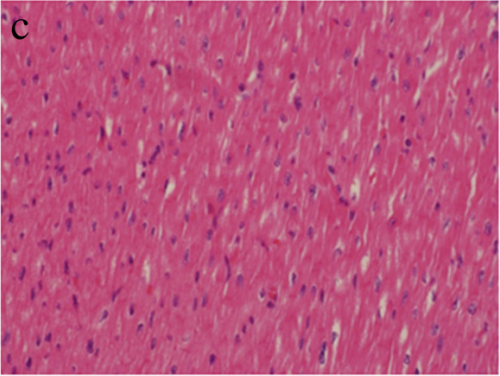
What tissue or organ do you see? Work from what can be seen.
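Pink, longitudinally cut muscle fibres run in parallel. On this evidence: myocardium.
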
